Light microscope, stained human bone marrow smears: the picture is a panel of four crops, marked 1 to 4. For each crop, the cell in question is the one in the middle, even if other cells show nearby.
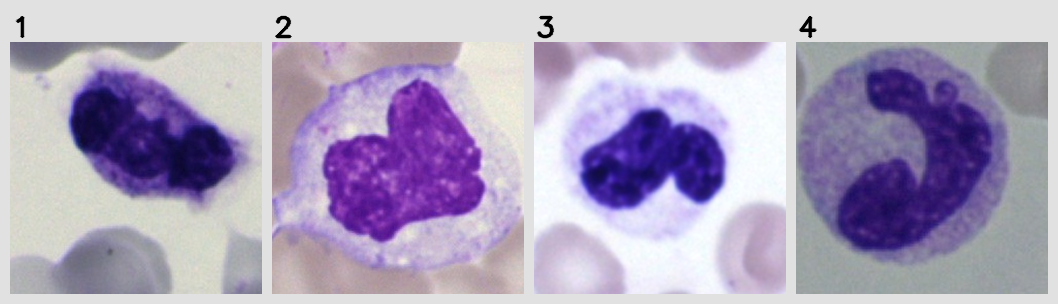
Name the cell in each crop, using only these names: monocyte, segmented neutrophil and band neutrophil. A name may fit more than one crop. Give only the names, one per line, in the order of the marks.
band neutrophil
monocyte
segmented neutrophil
segmented neutrophil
